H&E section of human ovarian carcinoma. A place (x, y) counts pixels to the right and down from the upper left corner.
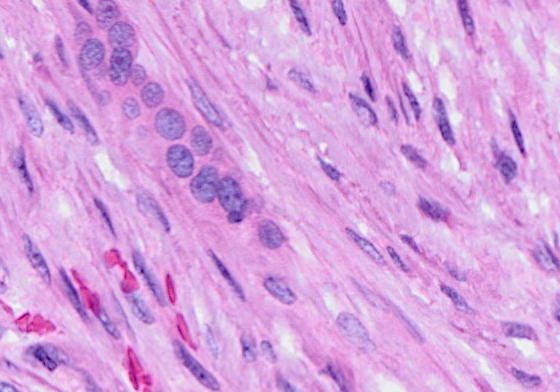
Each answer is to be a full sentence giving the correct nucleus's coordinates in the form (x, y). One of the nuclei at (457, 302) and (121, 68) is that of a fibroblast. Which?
Among the two nuclei, the one found at (457, 302) belongs to a fibroblast.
